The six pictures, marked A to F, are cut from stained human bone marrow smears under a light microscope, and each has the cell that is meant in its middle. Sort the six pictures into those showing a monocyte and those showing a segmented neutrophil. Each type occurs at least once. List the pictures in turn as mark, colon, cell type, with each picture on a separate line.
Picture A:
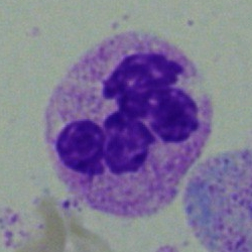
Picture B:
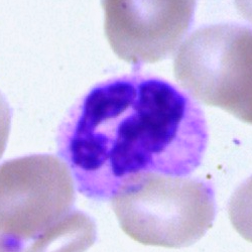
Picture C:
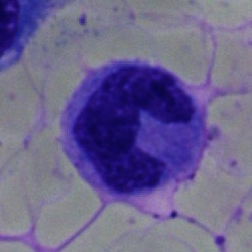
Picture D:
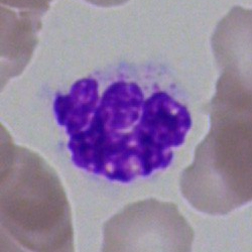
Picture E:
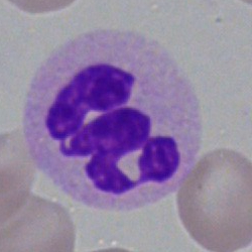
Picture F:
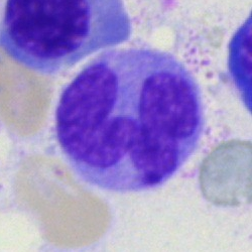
A: segmented neutrophil
B: segmented neutrophil
C: monocyte
D: segmented neutrophil
E: segmented neutrophil
F: monocyte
